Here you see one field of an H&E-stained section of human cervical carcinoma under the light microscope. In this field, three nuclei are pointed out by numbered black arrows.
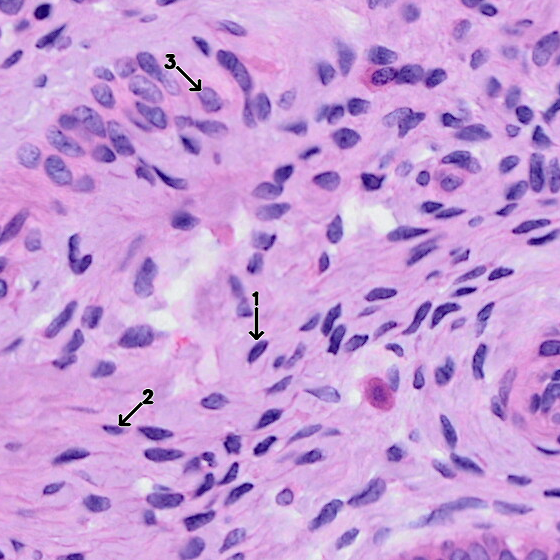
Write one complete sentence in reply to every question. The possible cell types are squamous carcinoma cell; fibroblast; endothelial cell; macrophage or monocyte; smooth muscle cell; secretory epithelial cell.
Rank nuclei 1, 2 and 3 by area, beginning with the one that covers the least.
Smallest first, the nuclei run 2, 1, 3.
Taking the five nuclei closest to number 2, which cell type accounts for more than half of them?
Fibroblasts account for more than half of the five nuclei nearest to number 2.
